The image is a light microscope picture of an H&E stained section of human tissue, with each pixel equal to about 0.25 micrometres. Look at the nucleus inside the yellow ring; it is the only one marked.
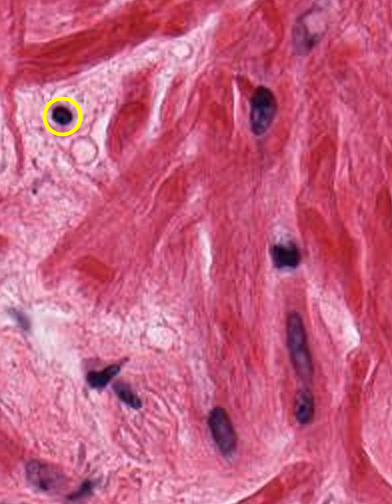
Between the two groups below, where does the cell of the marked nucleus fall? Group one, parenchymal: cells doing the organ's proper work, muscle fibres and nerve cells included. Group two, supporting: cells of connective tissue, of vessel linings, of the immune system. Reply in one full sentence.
Among the cells in view, a supporting cell holds the marked nucleus.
